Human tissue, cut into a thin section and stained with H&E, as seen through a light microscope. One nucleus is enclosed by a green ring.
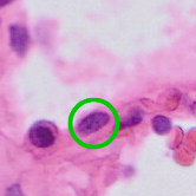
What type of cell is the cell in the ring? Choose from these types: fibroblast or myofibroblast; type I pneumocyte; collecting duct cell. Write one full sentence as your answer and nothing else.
In the tissue at hand, the cell in the ring is a type I pneumocyte.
